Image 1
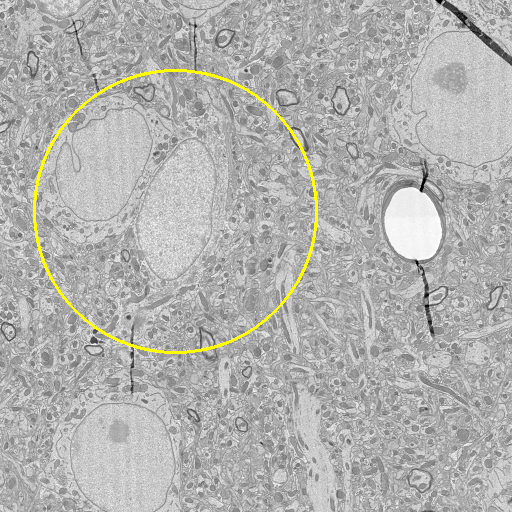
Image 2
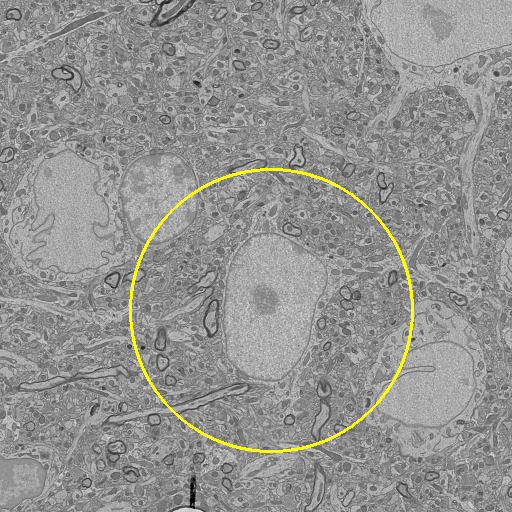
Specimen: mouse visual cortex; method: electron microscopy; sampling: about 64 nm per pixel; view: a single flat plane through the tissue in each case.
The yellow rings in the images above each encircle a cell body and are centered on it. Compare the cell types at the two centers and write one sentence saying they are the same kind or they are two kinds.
Taken together, the two cells at the ring centers are the same kind.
